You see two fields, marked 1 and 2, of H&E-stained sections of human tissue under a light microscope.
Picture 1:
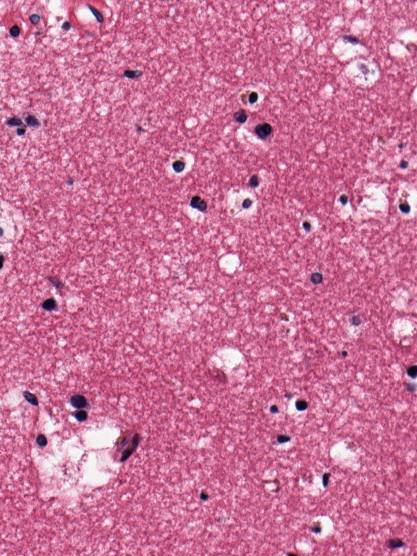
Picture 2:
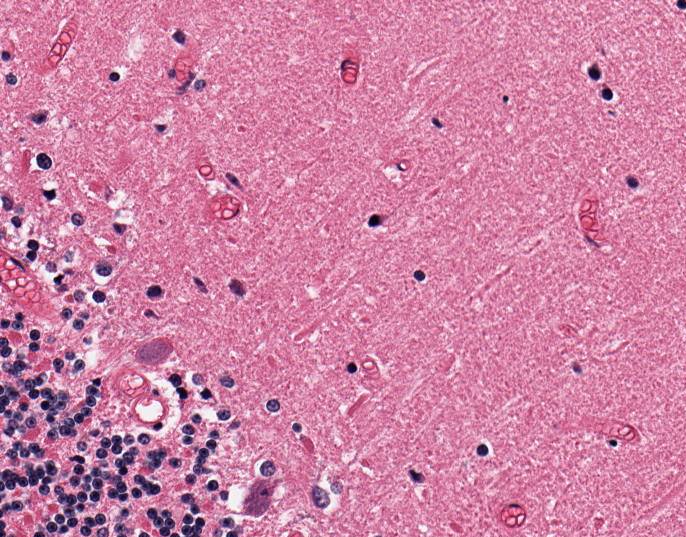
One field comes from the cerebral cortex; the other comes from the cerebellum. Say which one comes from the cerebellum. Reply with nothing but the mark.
2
